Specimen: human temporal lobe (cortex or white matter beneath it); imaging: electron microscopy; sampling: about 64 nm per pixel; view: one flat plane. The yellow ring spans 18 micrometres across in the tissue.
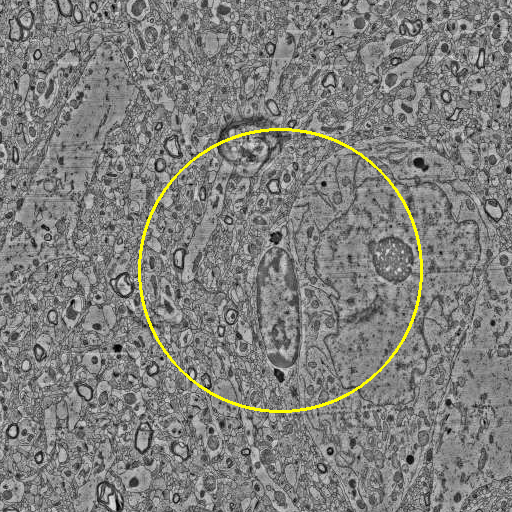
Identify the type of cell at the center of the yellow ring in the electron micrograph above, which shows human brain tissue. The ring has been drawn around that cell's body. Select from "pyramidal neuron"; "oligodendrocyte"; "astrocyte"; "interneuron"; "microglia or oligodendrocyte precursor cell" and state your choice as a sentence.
The yellow ring is centered on the body of a microglial cell or oligodendrocyte precursor cell.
